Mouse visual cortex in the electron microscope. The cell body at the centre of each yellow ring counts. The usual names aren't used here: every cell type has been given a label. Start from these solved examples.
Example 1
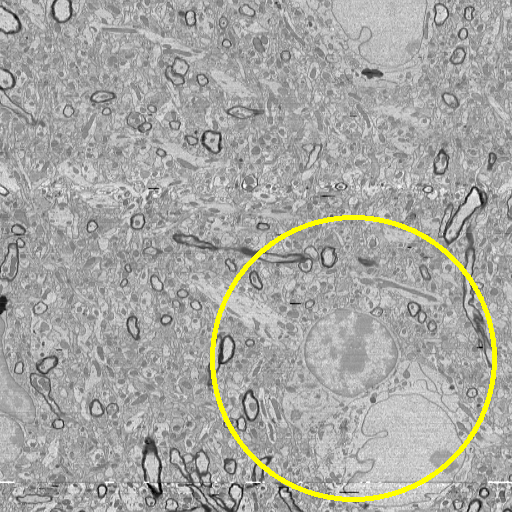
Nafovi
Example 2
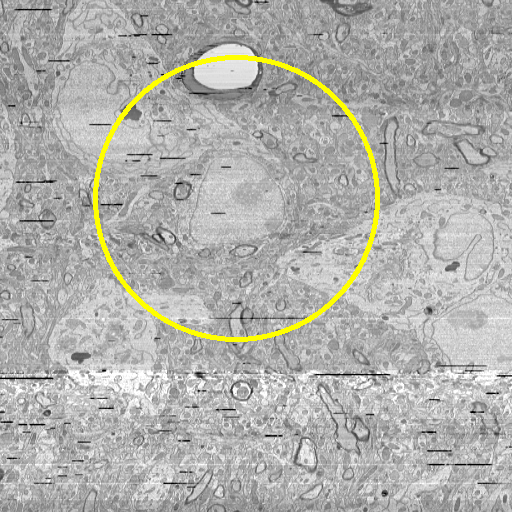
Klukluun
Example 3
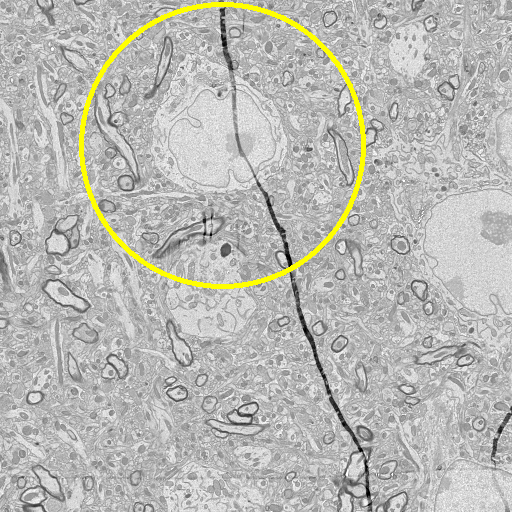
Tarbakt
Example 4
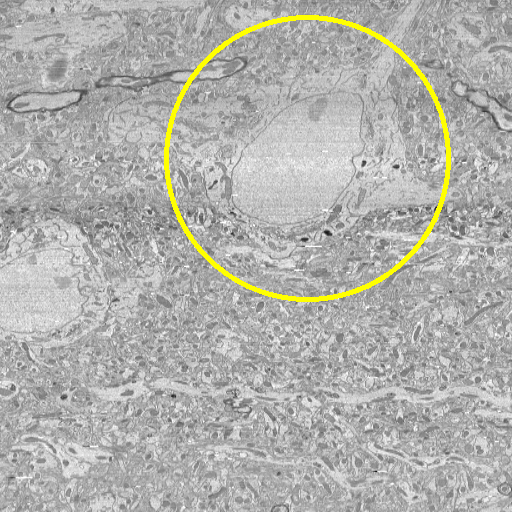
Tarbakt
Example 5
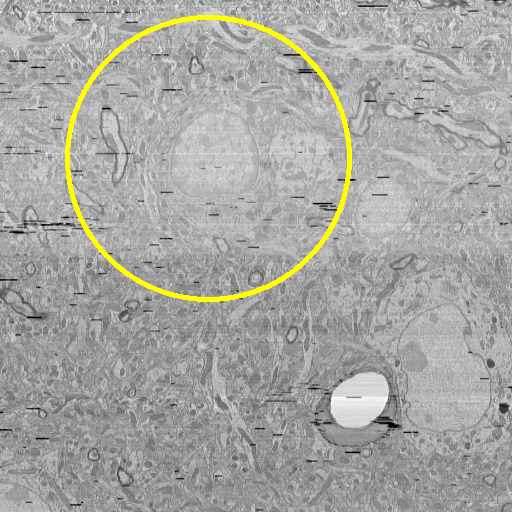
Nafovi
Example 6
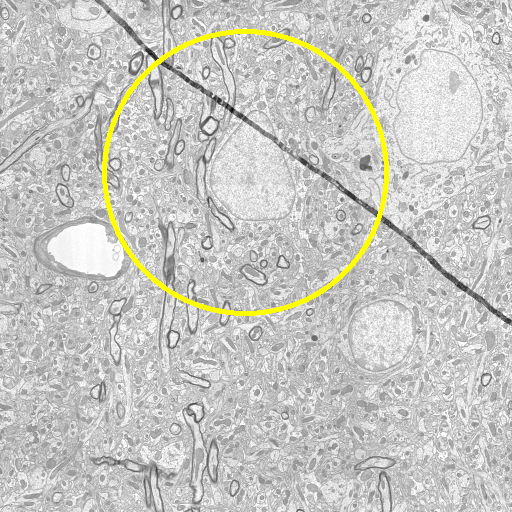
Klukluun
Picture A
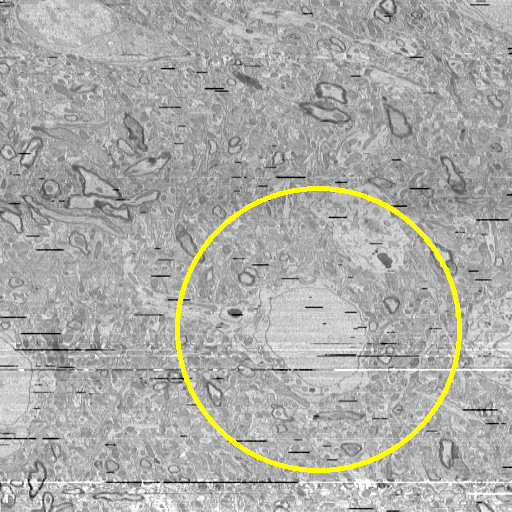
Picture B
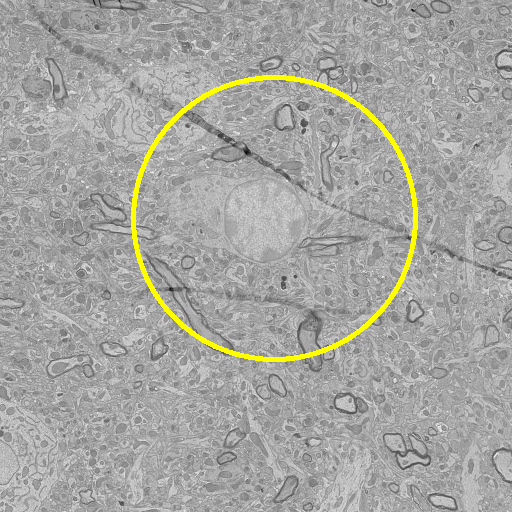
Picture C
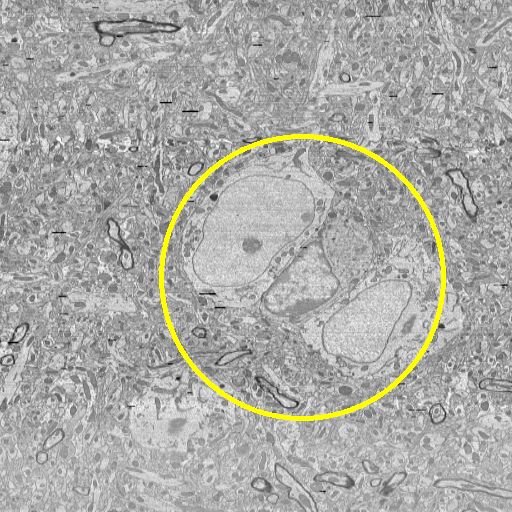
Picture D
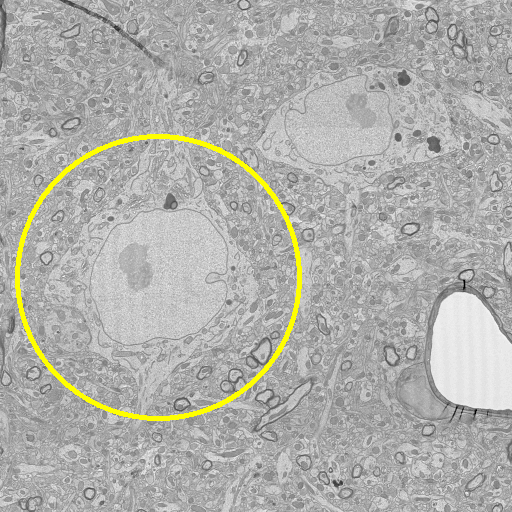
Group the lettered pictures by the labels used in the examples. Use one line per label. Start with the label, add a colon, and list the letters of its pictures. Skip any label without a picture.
Nafovi: B, C
Tarbakt: A, D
